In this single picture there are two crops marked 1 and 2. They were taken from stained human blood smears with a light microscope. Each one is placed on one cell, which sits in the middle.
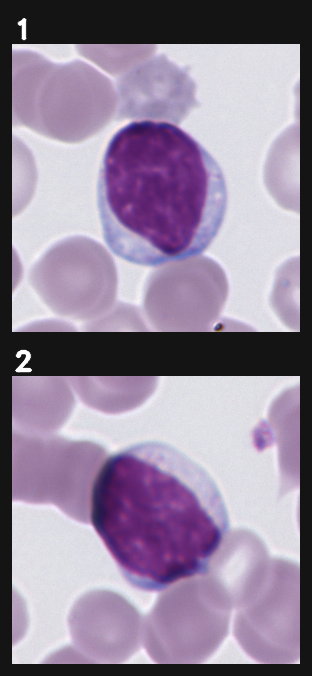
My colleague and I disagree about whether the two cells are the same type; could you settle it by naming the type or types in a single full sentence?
Yes, both crops, not just one, show large granular lymphocytes.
